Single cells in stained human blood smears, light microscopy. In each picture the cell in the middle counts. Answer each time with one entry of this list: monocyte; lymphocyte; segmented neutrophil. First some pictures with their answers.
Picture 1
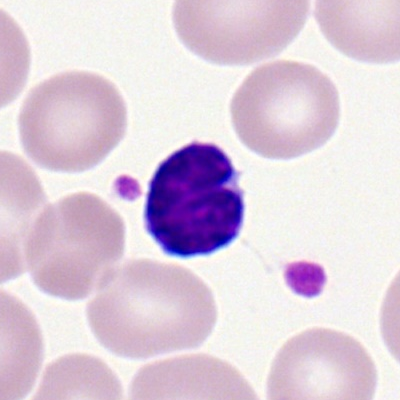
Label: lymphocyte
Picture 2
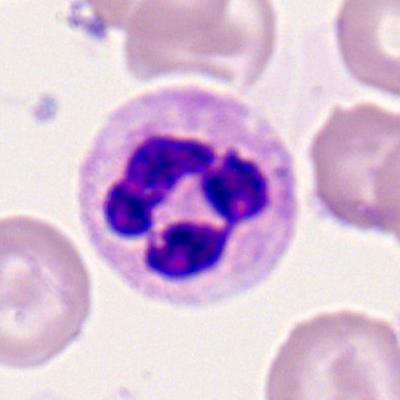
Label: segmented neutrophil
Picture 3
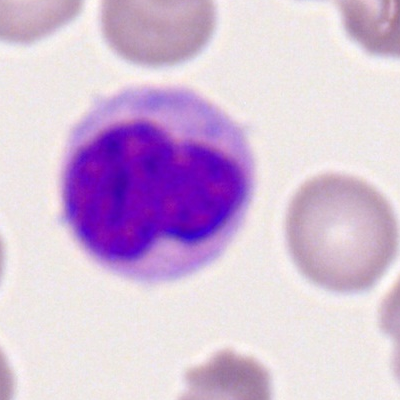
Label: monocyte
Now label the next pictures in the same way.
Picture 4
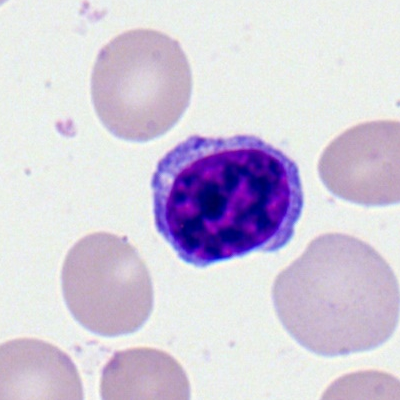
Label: lymphocyte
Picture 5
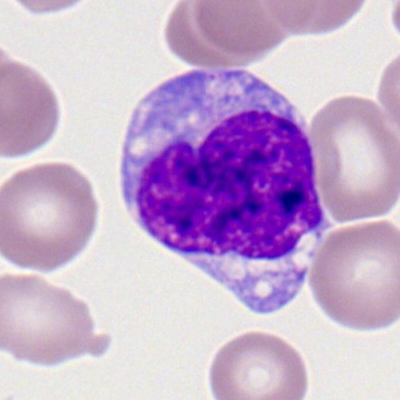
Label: monocyte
